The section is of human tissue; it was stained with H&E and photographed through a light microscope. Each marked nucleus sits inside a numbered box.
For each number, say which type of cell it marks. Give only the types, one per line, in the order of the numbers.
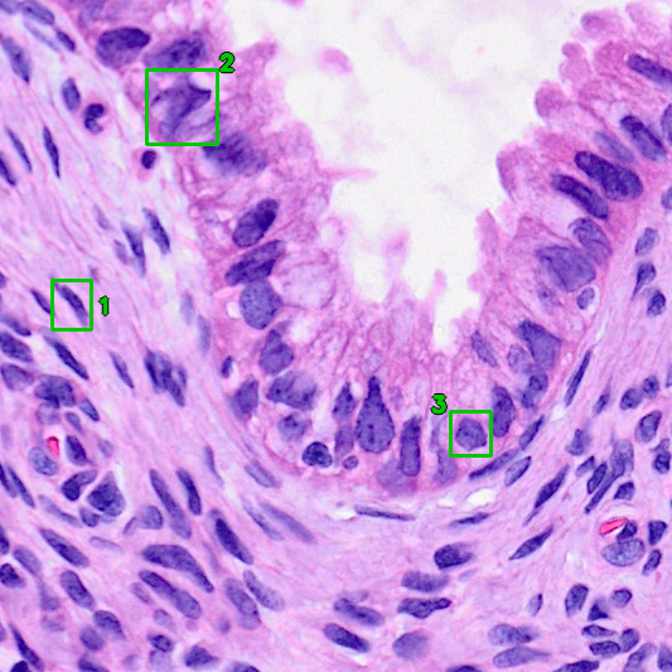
fibroblast
secretory epithelial cell
secretory epithelial cell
